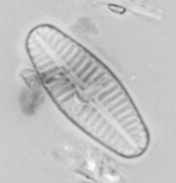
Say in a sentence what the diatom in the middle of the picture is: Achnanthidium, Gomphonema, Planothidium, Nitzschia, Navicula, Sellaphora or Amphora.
This is Planothidium.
